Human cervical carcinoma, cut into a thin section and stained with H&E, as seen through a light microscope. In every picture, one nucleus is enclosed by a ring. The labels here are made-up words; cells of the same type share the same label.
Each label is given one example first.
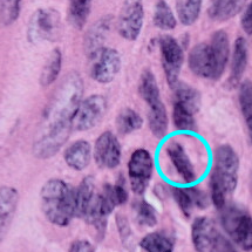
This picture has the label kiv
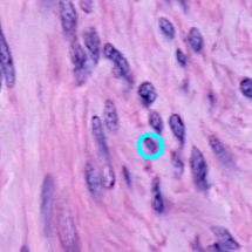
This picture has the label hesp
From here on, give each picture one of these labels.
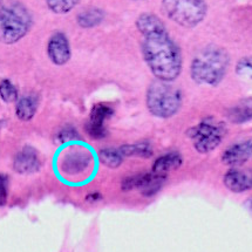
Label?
kiv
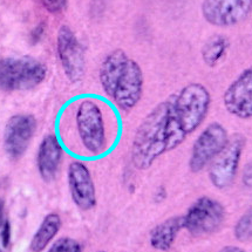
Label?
kiv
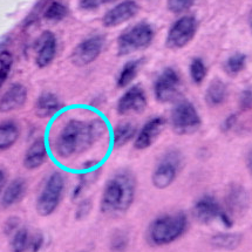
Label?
kiv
